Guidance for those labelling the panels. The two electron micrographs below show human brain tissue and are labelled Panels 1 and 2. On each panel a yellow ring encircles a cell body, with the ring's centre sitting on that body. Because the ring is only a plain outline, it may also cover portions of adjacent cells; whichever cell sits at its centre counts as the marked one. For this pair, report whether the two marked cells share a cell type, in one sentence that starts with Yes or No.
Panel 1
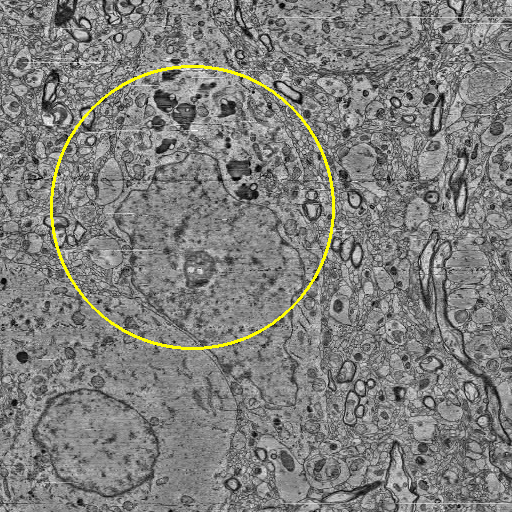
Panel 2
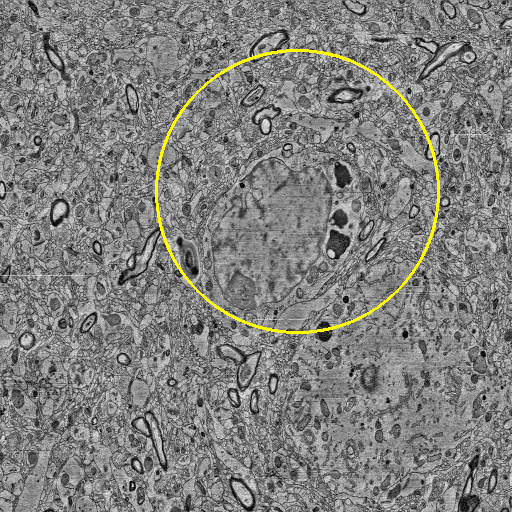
Yes, in Panel 1 and Panel 2 the marked cells at the ring centres share one type.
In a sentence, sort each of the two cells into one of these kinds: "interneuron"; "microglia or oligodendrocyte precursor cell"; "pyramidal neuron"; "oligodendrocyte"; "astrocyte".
Each cell at the centre of a ring is an interneuron.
